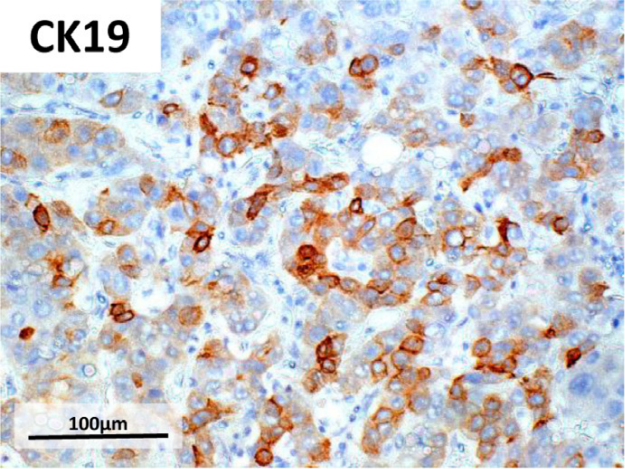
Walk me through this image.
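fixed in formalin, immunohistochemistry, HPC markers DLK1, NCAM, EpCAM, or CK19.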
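Tumour cells of a liver carcinoma form trabeculae and small nests separated by thin vascular spaces. The cells are polygonal with round central nuclei and distinct nucleoli; a scattered subset shows dense brown staining of the cytoplasm, accentuated at the cell borders, while most surrounding tumour cells are pale with blue nuclei.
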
